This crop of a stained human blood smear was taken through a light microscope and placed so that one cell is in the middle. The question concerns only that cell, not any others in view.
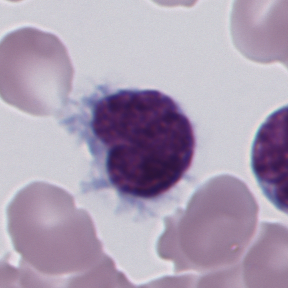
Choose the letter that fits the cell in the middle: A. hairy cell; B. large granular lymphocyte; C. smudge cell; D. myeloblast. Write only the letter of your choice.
A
